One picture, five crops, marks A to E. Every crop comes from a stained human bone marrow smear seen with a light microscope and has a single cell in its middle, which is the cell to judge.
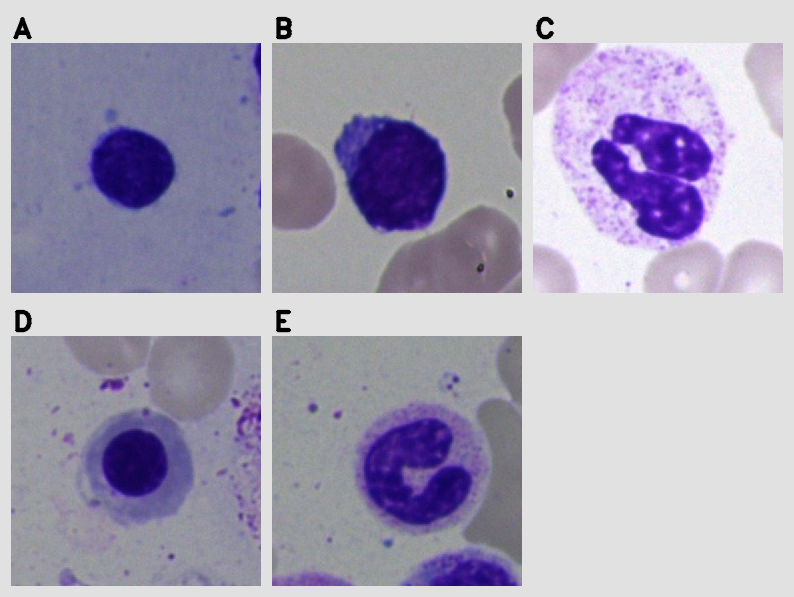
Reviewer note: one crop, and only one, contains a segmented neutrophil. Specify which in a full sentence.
It is crop C that shows a segmented neutrophil.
